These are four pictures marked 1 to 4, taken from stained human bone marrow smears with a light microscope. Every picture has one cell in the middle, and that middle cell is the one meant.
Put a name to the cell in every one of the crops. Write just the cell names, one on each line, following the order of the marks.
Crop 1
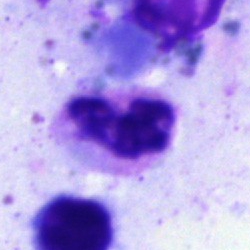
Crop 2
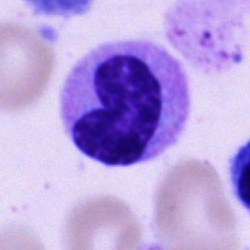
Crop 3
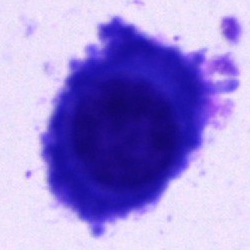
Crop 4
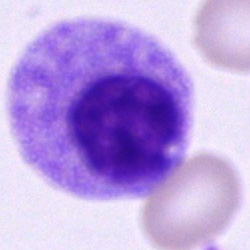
segmented neutrophil
metamyelocyte
plasma cell
myelocyte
